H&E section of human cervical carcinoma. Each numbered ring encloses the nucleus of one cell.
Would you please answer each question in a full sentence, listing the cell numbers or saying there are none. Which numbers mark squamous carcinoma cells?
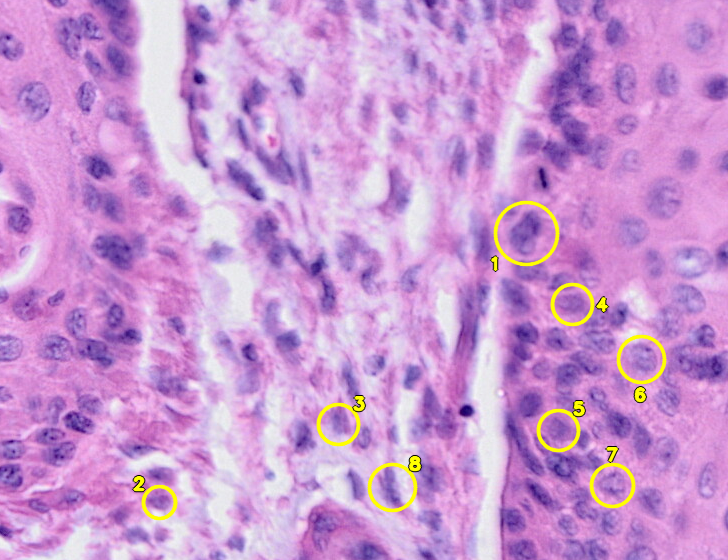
Into the category of squamous carcinoma cells fall the cells numbered 1, 4, 5, 6 and 7.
